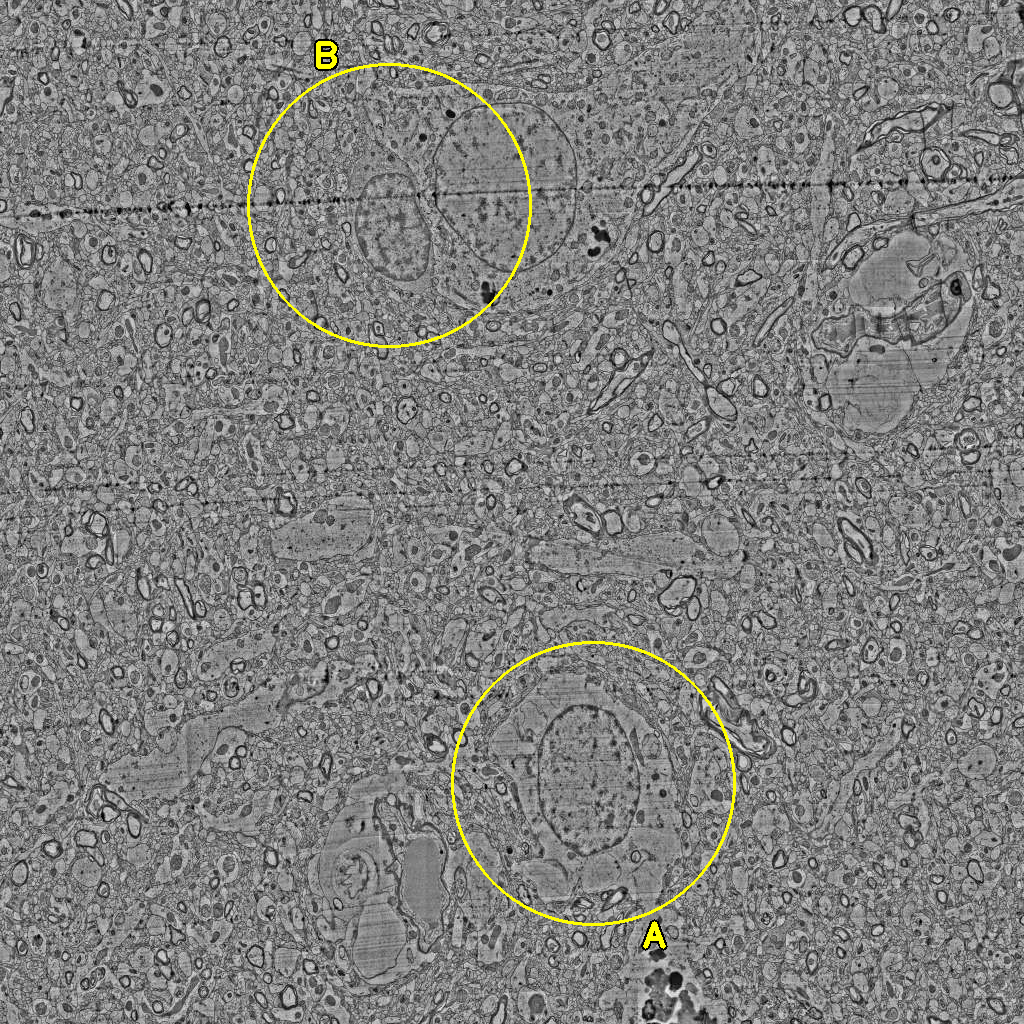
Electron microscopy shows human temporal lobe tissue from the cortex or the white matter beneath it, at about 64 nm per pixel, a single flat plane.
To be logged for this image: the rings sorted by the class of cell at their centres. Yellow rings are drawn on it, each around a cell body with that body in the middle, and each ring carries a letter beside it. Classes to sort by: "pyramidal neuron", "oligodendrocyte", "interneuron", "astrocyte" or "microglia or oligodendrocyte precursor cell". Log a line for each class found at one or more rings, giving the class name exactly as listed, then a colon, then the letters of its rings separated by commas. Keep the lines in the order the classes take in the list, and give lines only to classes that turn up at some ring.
oligodendrocyte: B
astrocyte: A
